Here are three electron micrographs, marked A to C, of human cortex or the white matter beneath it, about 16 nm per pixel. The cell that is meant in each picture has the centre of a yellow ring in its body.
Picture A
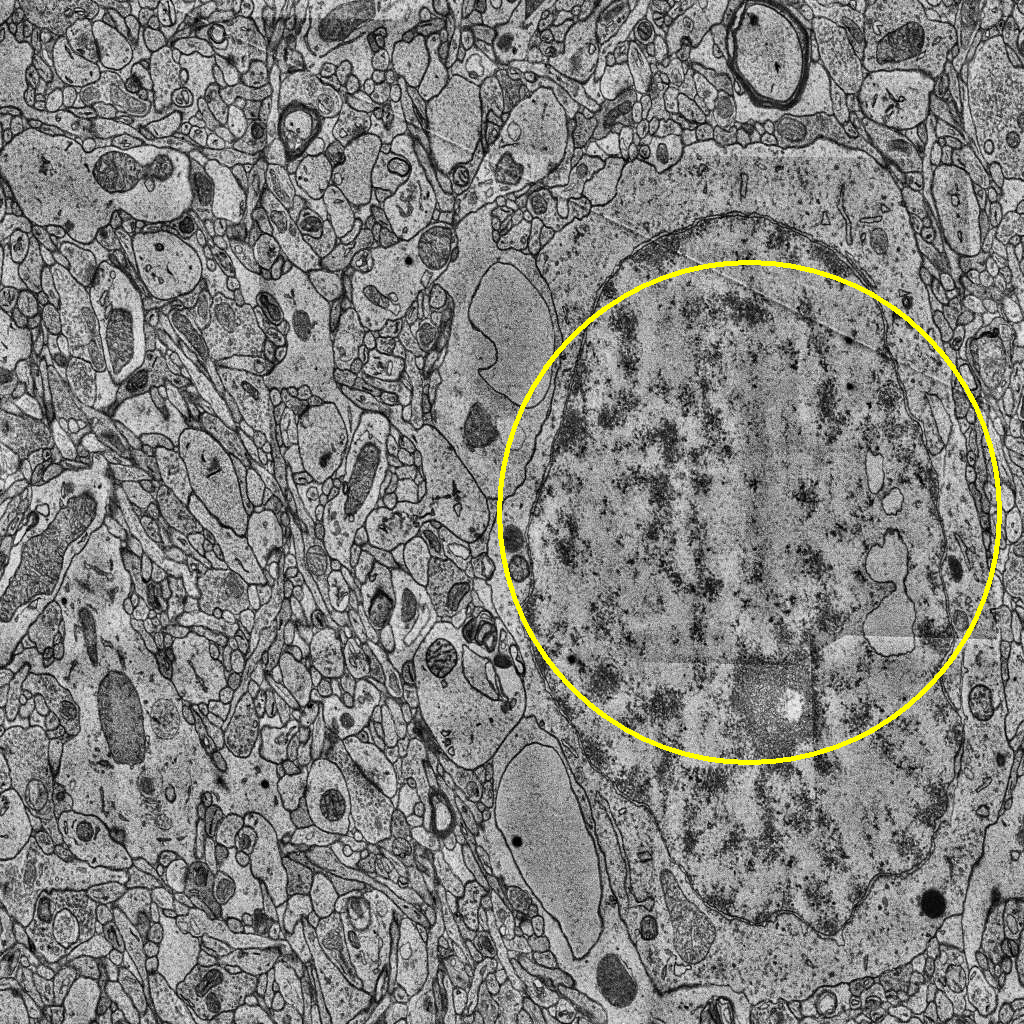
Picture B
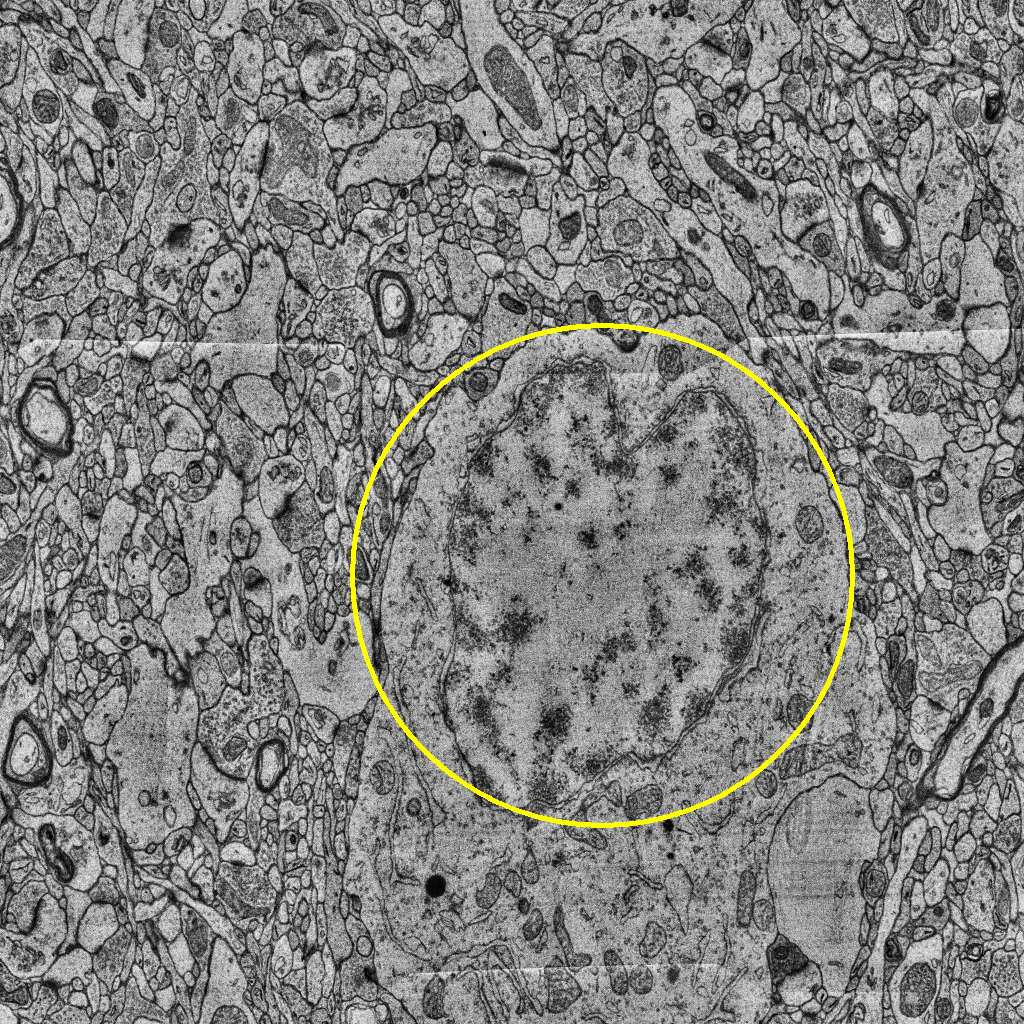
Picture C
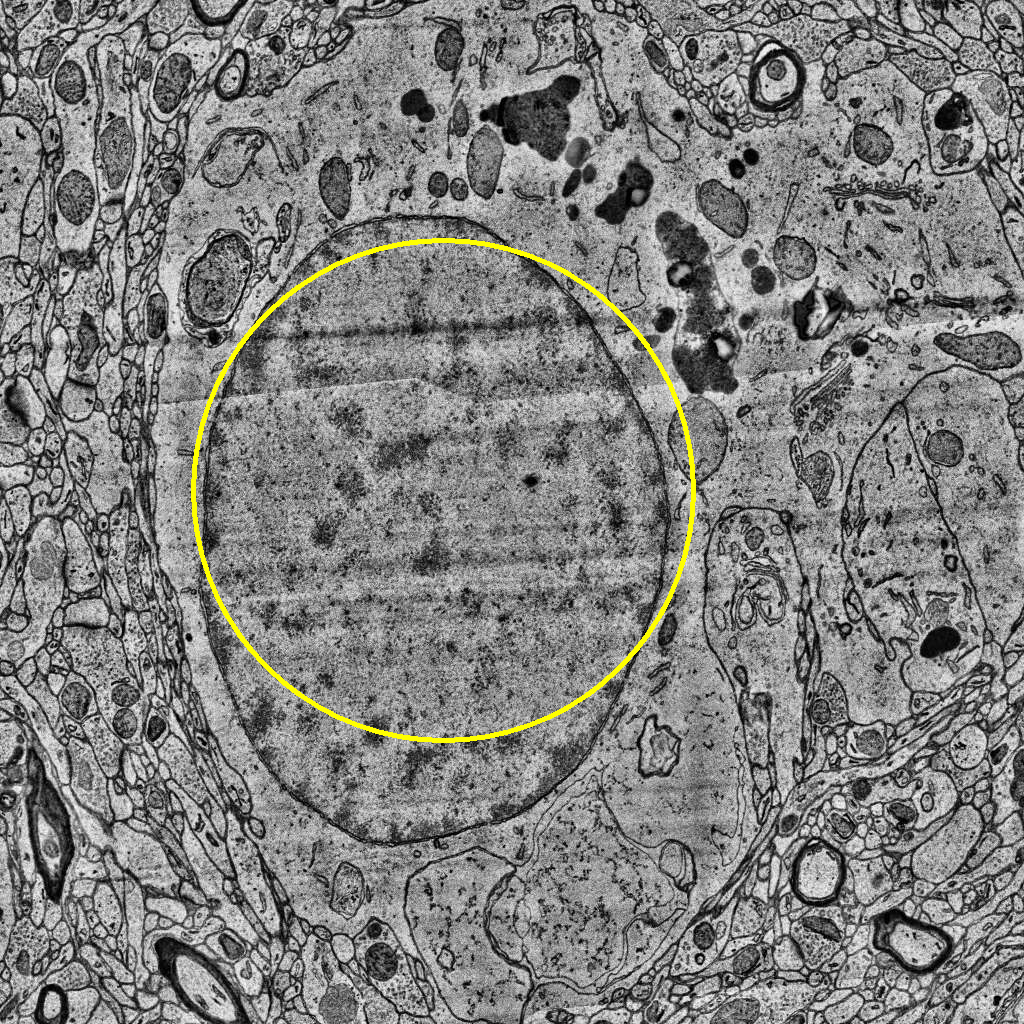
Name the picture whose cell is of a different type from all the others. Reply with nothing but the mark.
C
